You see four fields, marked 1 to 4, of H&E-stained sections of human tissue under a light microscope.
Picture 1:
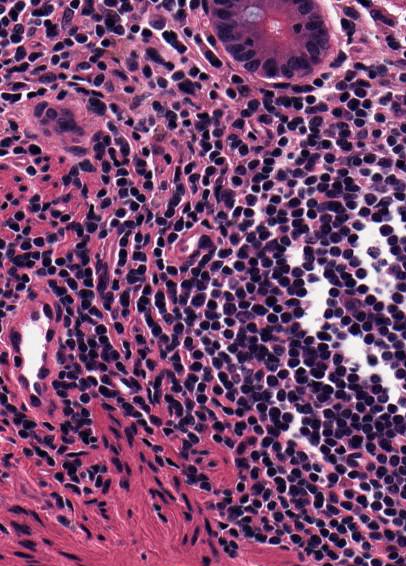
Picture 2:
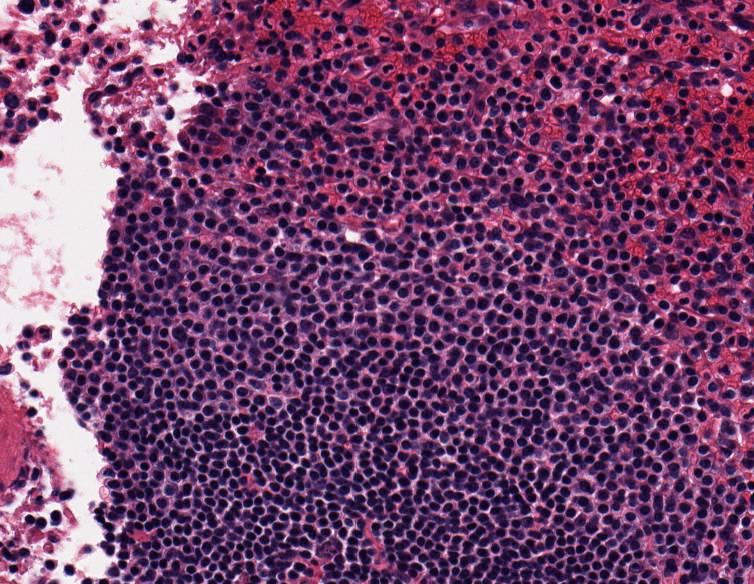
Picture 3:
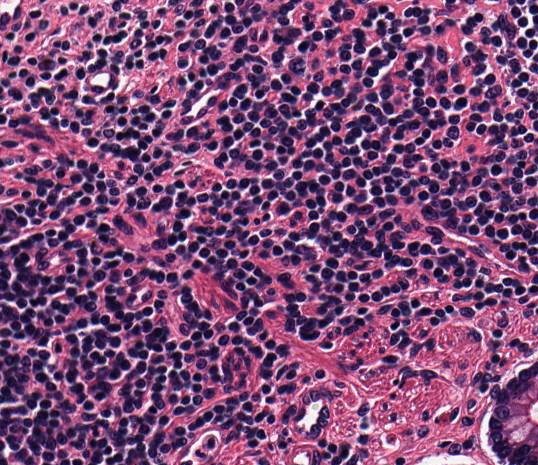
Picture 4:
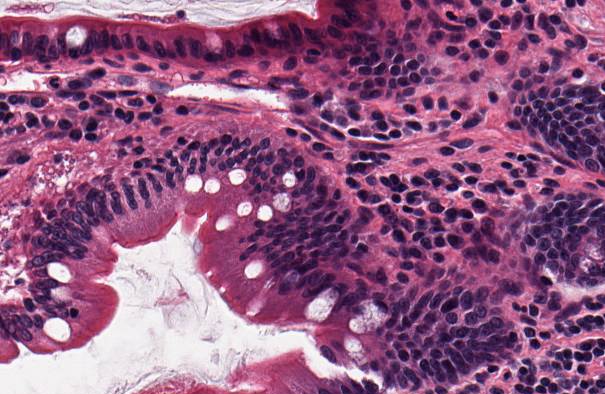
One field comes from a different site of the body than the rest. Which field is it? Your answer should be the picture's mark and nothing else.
2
